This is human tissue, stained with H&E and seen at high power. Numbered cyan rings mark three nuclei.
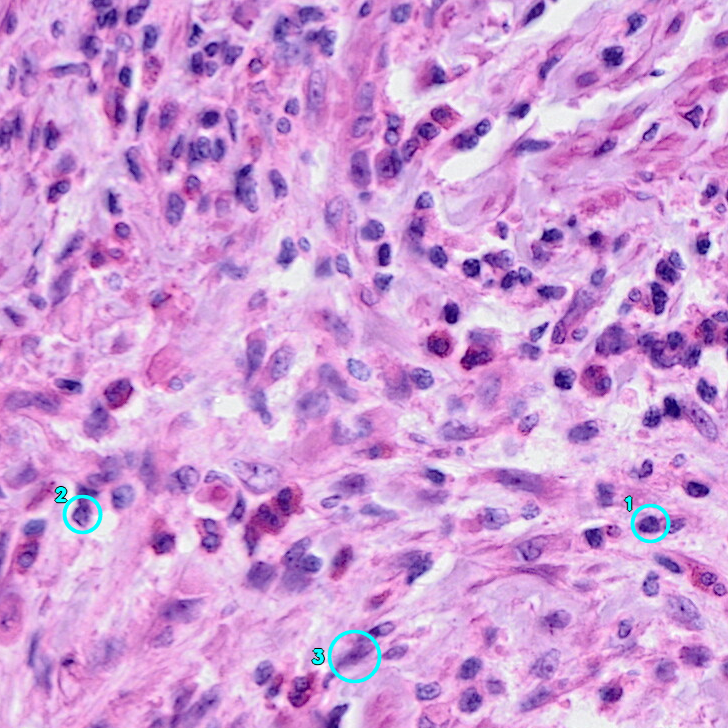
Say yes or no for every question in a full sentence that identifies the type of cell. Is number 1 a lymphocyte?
Yes, number 1 marks a cell that is a lymphocyte.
